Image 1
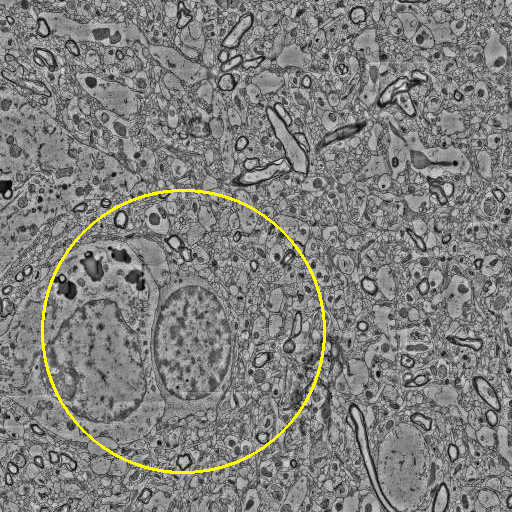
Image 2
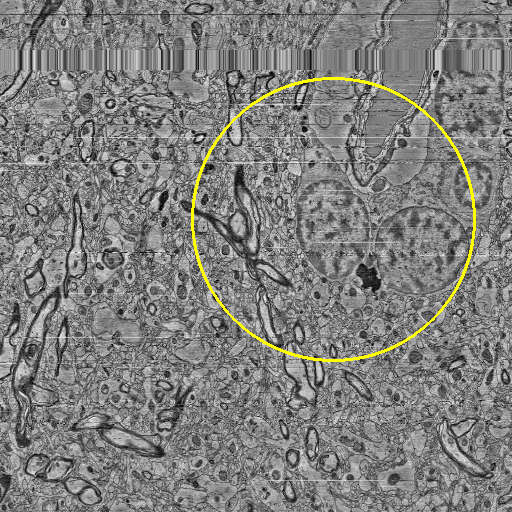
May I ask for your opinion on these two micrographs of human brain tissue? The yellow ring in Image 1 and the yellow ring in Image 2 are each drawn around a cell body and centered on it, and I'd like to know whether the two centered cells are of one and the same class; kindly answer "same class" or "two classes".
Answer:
same class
